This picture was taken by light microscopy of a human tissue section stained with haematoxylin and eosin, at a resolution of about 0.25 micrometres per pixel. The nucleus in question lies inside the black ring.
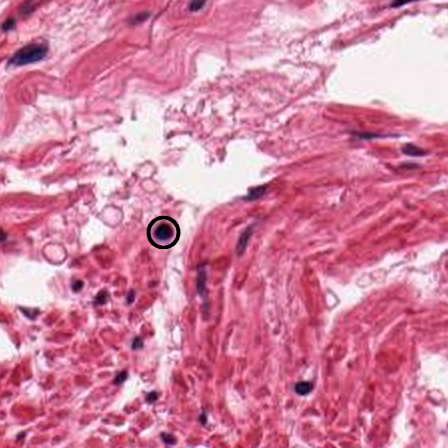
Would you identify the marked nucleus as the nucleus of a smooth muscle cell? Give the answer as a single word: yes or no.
no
